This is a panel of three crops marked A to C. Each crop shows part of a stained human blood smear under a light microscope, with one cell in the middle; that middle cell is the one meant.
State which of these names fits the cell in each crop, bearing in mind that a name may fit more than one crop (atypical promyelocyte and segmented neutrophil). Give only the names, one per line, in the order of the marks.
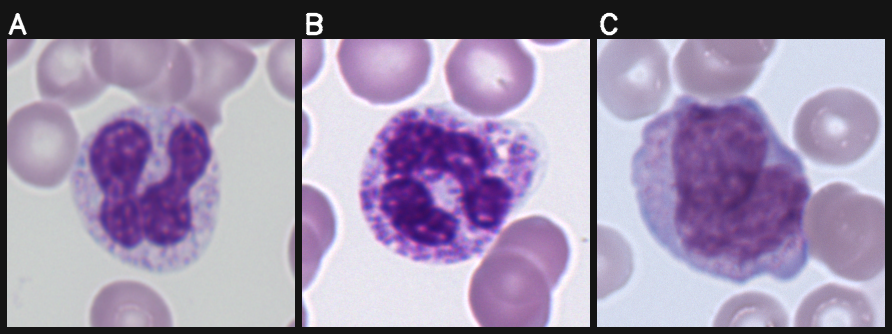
segmented neutrophil
segmented neutrophil
atypical promyelocyte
